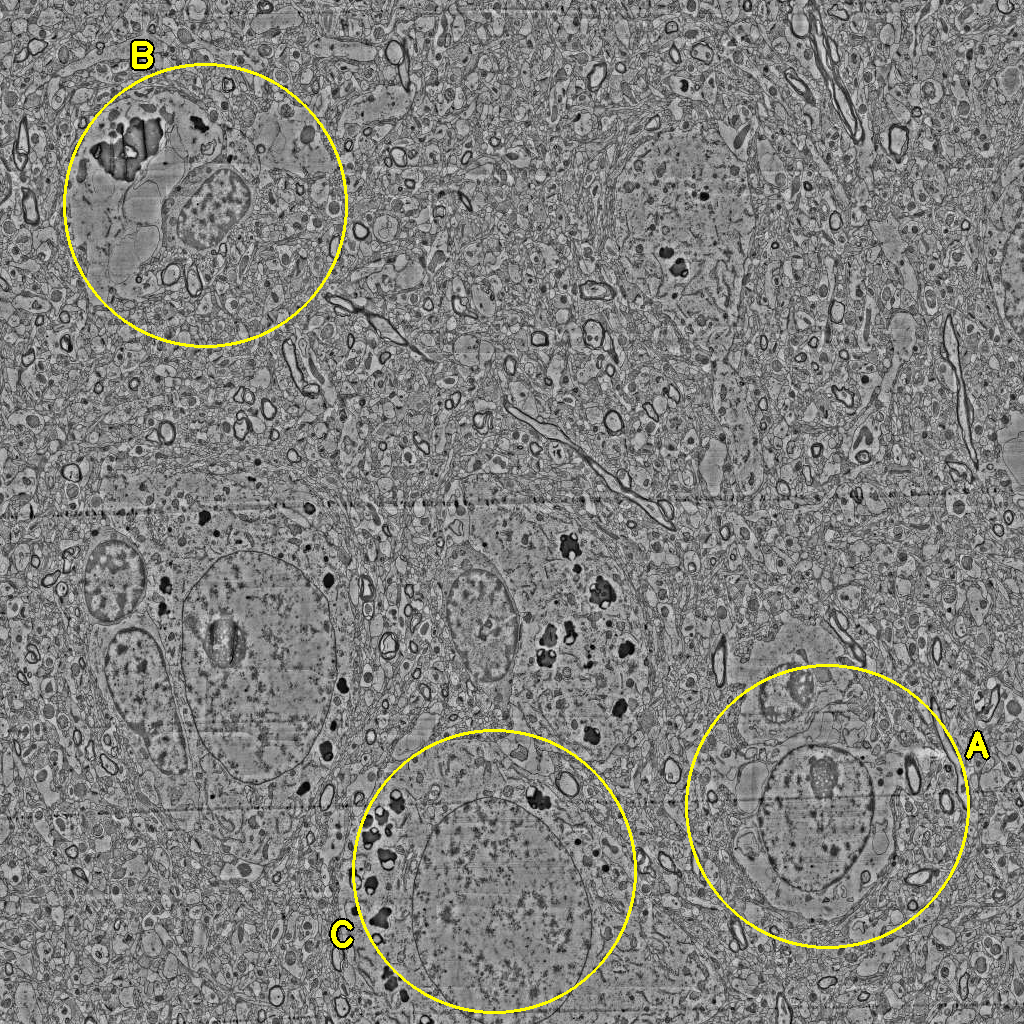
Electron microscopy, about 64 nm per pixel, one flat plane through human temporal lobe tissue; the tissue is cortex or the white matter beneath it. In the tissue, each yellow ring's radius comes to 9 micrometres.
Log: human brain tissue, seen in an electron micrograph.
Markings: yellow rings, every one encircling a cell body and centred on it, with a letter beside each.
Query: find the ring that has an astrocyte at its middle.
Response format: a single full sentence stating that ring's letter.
The letter A marks the ring centred on the cell asked for in the image.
